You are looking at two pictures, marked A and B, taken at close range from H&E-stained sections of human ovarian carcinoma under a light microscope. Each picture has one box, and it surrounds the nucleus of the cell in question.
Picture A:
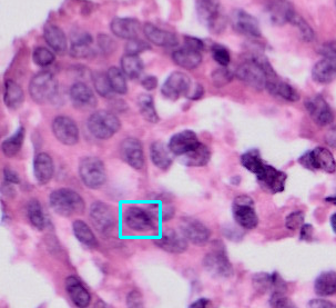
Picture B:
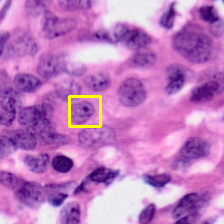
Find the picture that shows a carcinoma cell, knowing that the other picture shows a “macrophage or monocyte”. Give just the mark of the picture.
A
